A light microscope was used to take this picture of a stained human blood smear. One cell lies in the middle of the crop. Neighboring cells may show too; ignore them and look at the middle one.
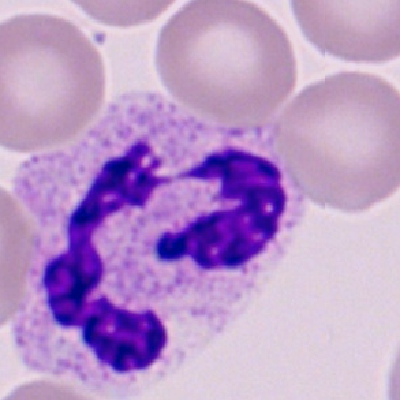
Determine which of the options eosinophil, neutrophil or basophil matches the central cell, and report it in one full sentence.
Within this crop, a neutrophil occupies the central position.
